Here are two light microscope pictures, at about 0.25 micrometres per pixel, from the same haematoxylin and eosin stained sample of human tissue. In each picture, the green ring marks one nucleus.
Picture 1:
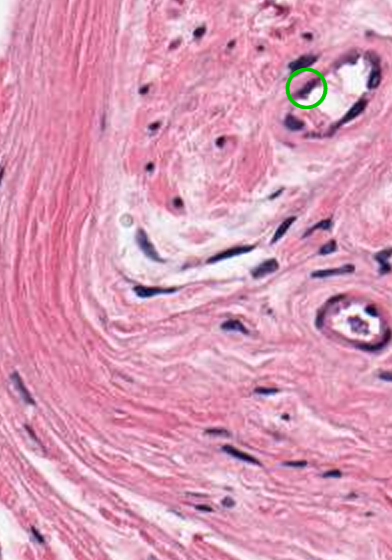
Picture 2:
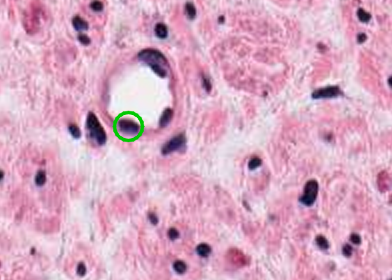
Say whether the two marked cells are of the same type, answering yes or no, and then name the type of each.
Yes, both are endothelial cells.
